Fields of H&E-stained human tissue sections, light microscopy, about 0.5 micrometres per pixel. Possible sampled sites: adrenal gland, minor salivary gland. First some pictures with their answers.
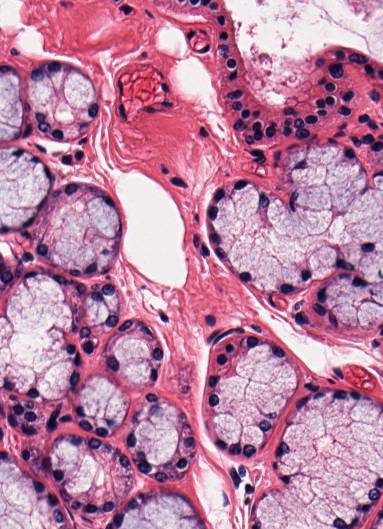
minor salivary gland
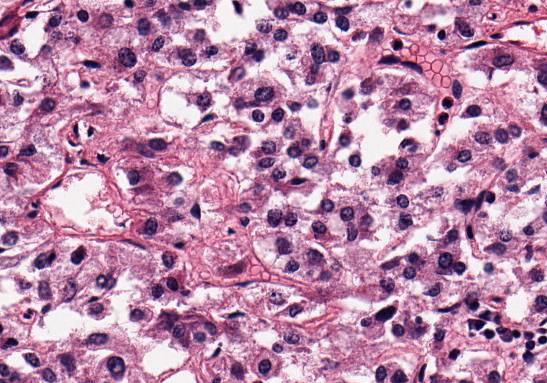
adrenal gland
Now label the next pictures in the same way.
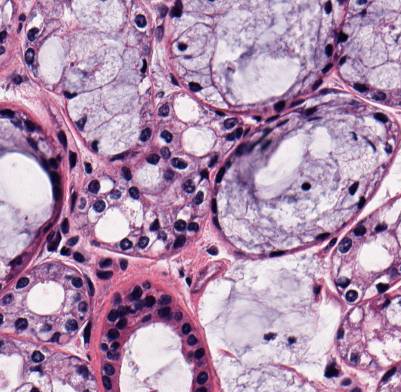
minor salivary gland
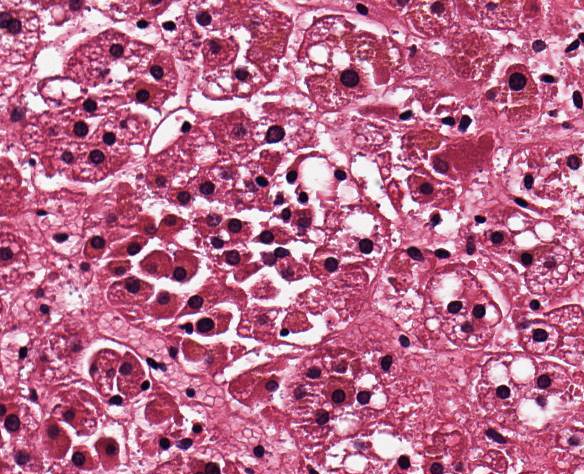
adrenal gland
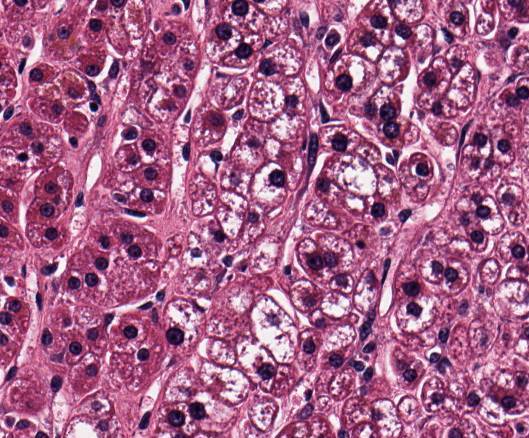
adrenal gland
